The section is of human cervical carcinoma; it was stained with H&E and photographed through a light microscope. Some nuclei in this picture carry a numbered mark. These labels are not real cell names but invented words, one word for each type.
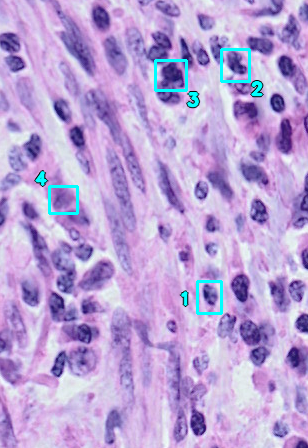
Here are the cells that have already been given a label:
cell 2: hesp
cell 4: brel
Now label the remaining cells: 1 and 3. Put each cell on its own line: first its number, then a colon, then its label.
1: hesp
3: hesp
